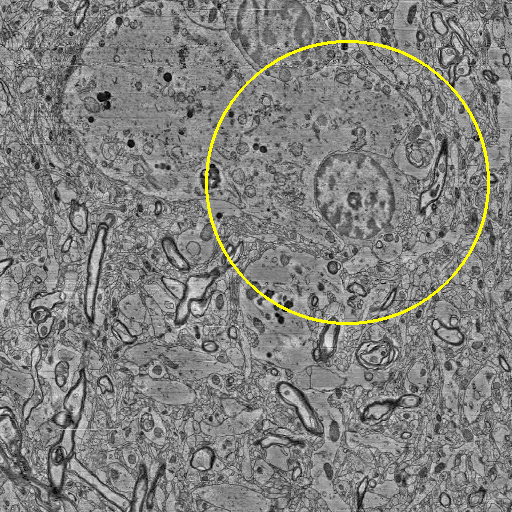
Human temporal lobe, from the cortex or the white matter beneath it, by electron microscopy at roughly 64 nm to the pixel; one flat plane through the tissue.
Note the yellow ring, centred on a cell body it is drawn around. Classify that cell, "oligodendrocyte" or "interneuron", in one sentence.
The cell the ring is centred on is an oligodendrocyte.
